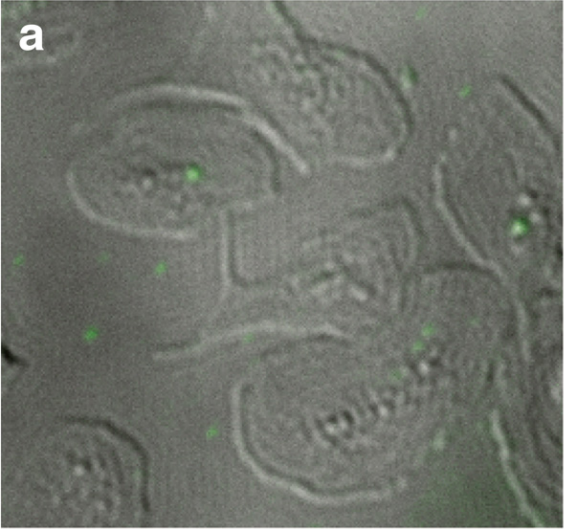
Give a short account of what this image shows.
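Spread platelets are seen in transmitted light, with almost no green fluorescence on them. The cells are flattened and rounded to oval, each edged by a thin, bright, curved rim that in places lifts or folds like a lamella. A cluster of fine granules sits toward the centre of several cells. No nuclei are visible. The cells lie side by side and partly overlap, with clear background between some of them. Only a few tiny green dots are scattered over the field, some on the cells and some on the background.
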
